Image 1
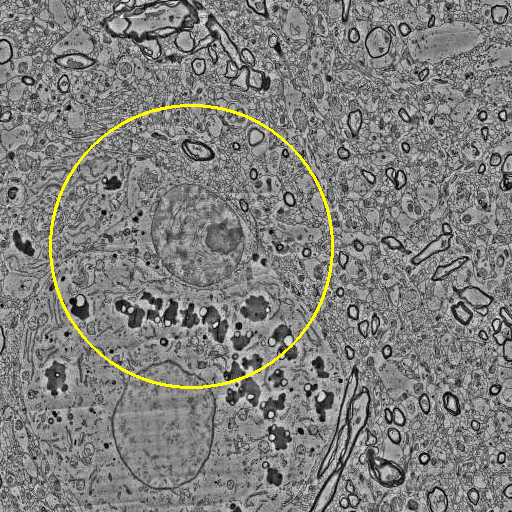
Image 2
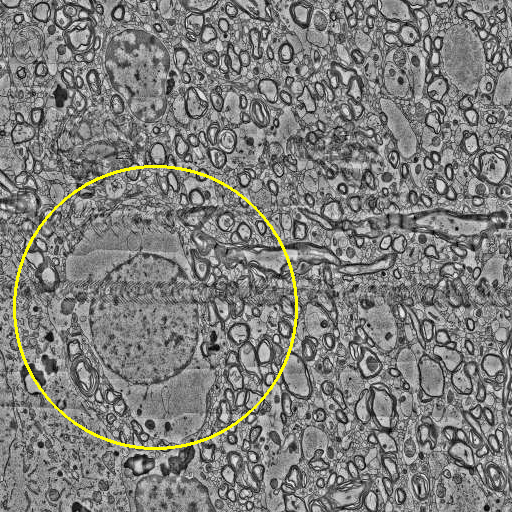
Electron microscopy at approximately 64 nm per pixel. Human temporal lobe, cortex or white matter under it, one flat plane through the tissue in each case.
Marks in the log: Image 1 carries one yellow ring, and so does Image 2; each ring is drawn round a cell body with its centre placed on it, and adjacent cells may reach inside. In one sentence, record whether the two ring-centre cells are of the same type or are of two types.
The two cells at the ring centres, one in each image, are of two types.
